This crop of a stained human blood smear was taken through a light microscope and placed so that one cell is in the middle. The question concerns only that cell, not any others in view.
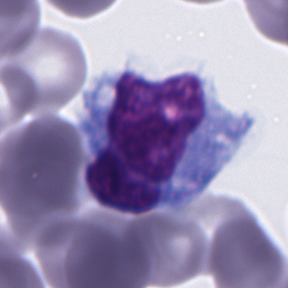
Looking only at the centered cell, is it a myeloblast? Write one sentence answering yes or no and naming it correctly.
No, the label for the central cell is a monocyte, not a myeloblast.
